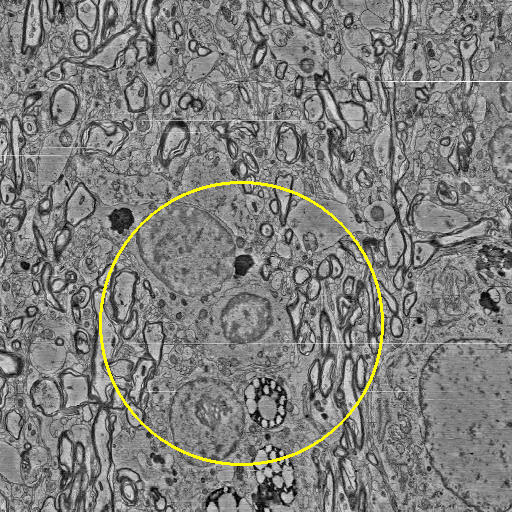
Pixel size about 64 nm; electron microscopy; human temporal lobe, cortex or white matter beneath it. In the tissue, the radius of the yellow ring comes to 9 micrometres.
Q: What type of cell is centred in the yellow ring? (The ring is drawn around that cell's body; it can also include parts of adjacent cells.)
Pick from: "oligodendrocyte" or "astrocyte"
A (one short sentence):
The yellow ring is centred on an oligodendrocyte.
